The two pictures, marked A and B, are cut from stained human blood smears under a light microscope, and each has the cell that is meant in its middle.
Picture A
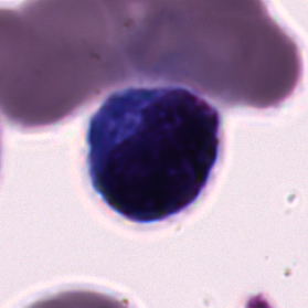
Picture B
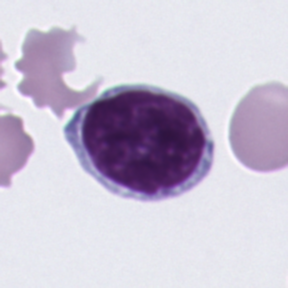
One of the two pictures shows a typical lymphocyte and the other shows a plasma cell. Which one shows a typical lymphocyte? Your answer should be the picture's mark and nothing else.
B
